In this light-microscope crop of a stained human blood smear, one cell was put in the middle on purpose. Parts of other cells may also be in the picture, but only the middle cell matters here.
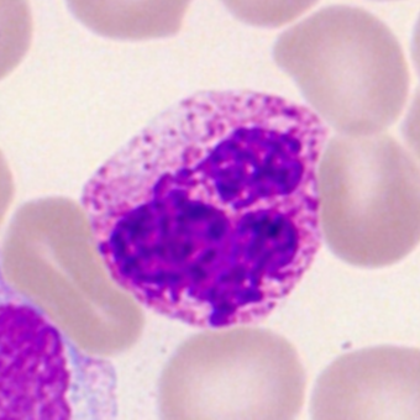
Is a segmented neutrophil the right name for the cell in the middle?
no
